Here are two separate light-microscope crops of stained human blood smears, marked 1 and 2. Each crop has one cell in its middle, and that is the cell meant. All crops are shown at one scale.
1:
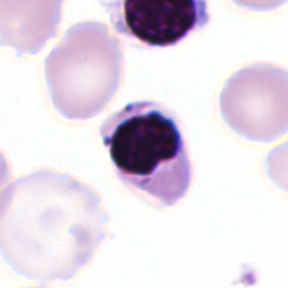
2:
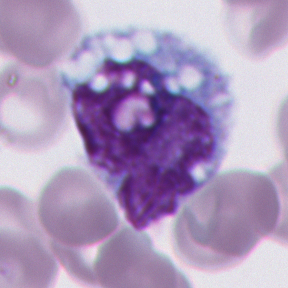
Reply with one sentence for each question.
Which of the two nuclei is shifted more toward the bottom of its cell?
In picture 2 the nucleus is shifted more toward the bottom.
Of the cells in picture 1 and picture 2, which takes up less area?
Picture 1 holds the smaller cell, since the cell in picture 2 covers about 3 times as much area.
